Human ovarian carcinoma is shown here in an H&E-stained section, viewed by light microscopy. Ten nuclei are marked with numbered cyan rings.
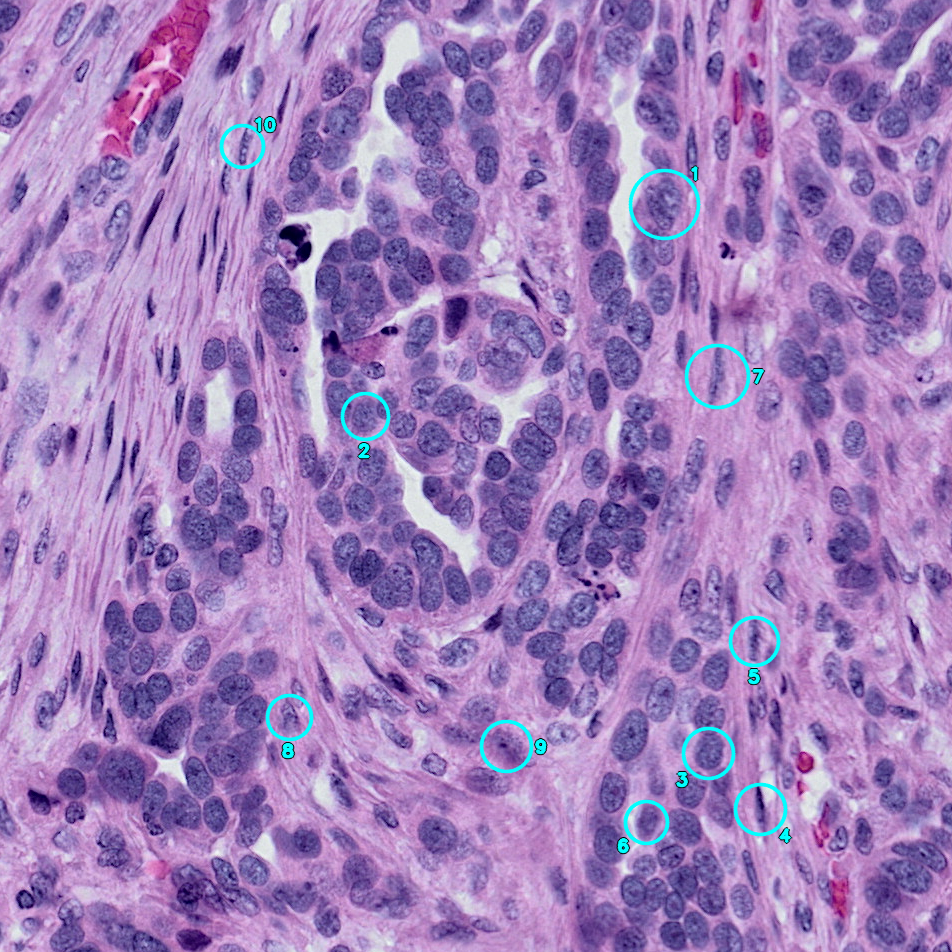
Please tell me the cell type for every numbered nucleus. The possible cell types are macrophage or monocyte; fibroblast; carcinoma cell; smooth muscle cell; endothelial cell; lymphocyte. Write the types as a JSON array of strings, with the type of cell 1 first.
["carcinoma cell", "carcinoma cell", "carcinoma cell", "fibroblast", "fibroblast", "carcinoma cell", "fibroblast", "fibroblast", "fibroblast", "fibroblast"]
